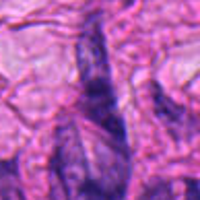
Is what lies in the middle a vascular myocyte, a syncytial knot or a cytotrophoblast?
It is a vascular myocyte.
